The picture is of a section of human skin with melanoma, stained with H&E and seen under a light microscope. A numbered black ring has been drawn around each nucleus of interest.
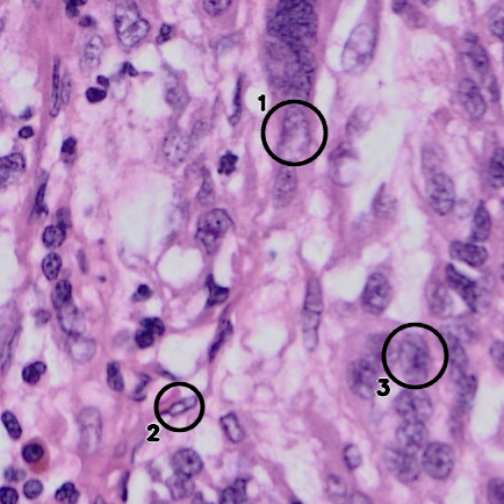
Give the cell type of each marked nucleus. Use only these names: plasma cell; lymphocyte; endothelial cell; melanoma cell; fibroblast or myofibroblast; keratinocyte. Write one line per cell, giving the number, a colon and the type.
1: melanoma cell
2: endothelial cell
3: melanoma cell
